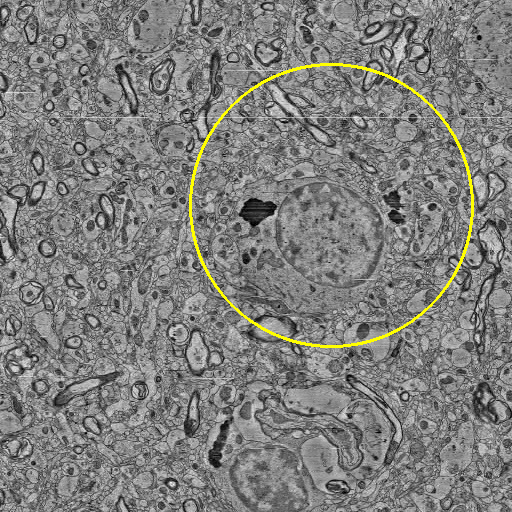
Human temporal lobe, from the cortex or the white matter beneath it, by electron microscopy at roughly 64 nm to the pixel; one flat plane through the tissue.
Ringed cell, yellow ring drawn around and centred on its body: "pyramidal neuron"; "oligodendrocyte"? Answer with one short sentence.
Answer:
This ringed cell is an oligodendrocyte.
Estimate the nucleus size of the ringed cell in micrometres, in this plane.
Roughly 7 micrometers across in this plane.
